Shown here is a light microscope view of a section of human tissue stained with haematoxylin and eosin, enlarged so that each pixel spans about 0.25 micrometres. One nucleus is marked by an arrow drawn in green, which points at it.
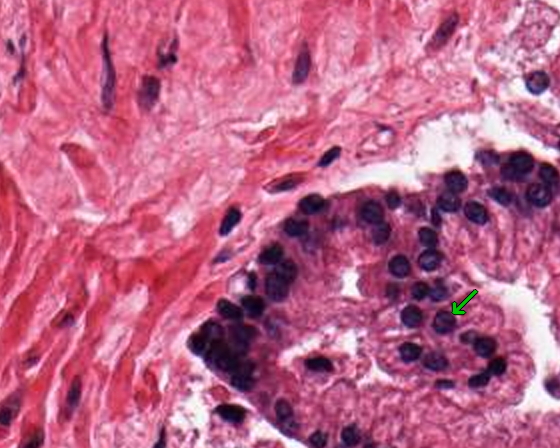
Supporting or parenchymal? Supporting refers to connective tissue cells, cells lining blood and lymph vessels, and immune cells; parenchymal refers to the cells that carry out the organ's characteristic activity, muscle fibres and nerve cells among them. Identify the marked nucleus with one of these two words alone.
parenchymal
